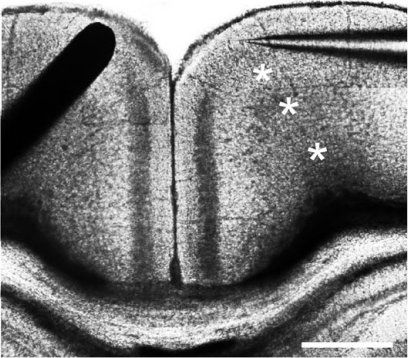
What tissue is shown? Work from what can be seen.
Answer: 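Cortical slice. Two symmetrical halves meet at a vertical midline fissure. A curved band of cellular grey tissue lies above paler fibre tracts at the bottom. A dark bar sits on one half and a fine pipette enters the other half.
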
